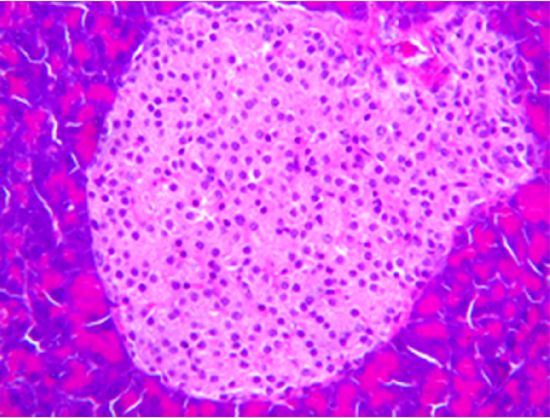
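This is pancreas, with a large pancreatic islet lying in the middle of the glandular tissue made of acinar cells. The islet is a rounded, pale pink mass of evenly packed cells with small round dark nuclei, set off sharply from its surroundings. Around it, the acinar tissue stains much darker purple and red and is divided into small glandular groups by thin white clefts.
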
